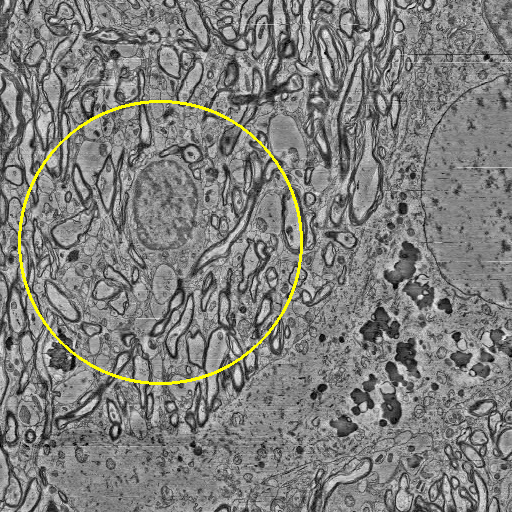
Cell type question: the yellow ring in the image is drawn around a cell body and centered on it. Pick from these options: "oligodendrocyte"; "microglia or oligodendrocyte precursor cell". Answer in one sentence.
The ringed cell at the center is an oligodendrocyte.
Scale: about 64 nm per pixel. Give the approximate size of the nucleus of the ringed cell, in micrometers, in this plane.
In this plane, approximately 6 by 4 micrometers.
